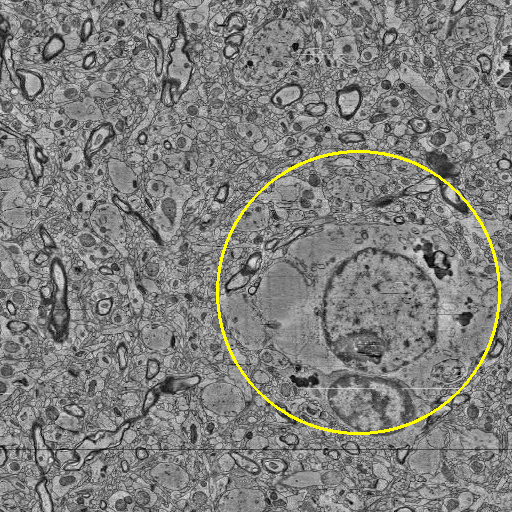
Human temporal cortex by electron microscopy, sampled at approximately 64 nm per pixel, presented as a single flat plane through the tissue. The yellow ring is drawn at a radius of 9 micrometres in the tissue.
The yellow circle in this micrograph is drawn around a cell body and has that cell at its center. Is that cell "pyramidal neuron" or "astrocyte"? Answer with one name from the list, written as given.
astrocyte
